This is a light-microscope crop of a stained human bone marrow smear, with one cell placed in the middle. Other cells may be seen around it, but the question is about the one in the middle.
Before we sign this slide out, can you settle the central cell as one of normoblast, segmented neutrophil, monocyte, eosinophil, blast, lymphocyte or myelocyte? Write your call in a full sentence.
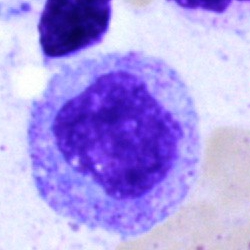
Located at the centre of the crop is a myelocyte.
